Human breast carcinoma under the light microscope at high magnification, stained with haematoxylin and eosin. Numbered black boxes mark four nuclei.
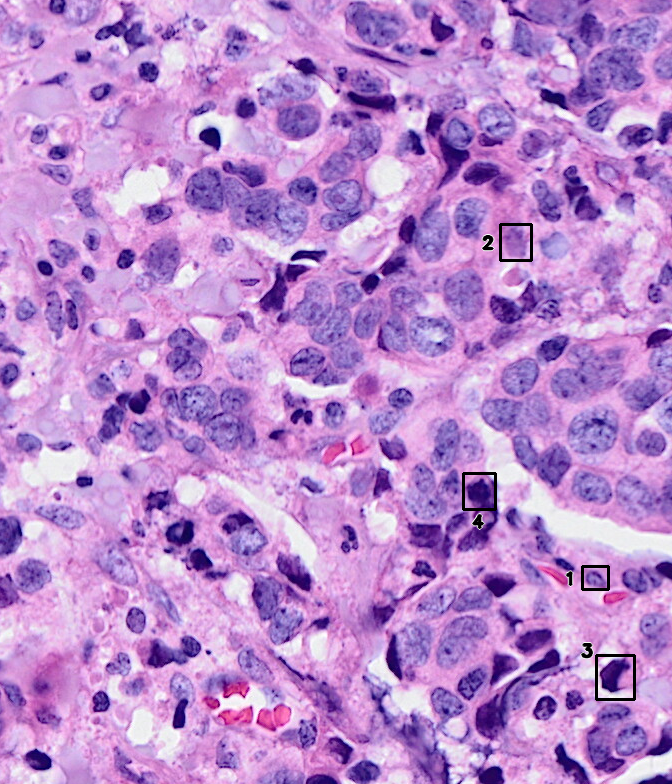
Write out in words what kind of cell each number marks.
Cell 1 is an endothelial cell, cell 2 is a carcinoma cell, cell 3 is a carcinoma cell and cell 4 is a carcinoma cell.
